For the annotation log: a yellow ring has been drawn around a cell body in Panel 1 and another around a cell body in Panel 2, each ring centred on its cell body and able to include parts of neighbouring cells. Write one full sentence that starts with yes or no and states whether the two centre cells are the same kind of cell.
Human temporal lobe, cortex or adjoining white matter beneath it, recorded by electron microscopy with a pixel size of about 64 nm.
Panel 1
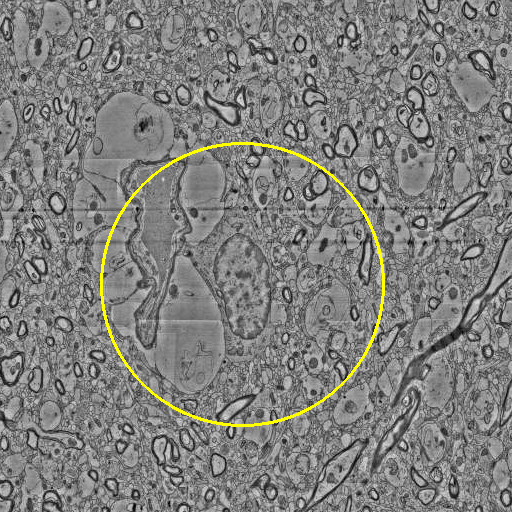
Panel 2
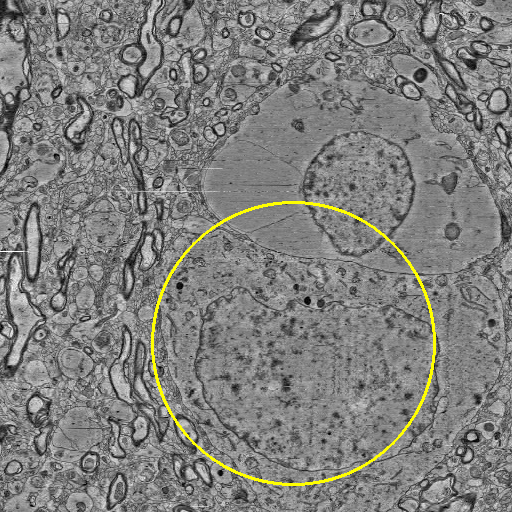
No, the two centre cells are two kinds of cell.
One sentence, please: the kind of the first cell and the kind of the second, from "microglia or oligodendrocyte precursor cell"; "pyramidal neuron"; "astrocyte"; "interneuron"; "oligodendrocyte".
The ring in the first picture surrounds an oligodendrocyte, and the ring in the second surrounds a pyramidal neuron.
